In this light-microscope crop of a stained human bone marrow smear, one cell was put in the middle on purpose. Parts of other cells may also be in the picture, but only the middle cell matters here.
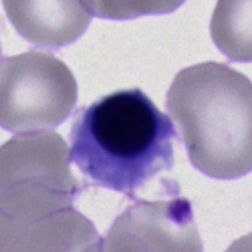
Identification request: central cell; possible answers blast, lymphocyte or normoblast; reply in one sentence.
The centrally located cell in the crop is a normoblast.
